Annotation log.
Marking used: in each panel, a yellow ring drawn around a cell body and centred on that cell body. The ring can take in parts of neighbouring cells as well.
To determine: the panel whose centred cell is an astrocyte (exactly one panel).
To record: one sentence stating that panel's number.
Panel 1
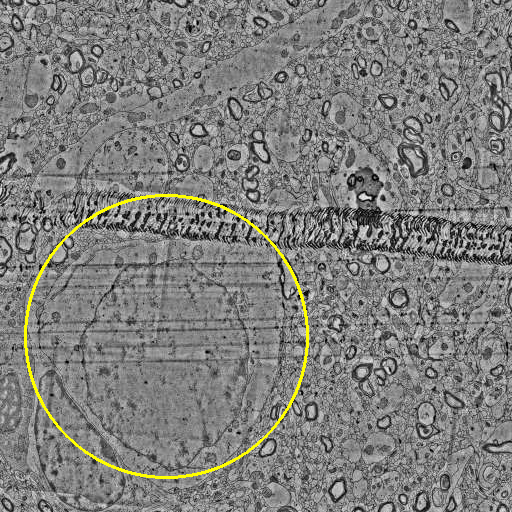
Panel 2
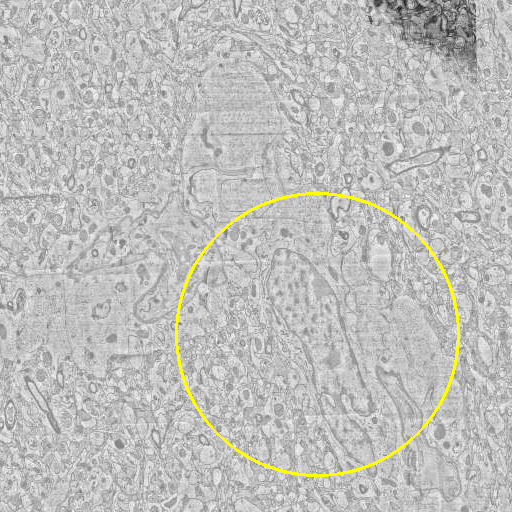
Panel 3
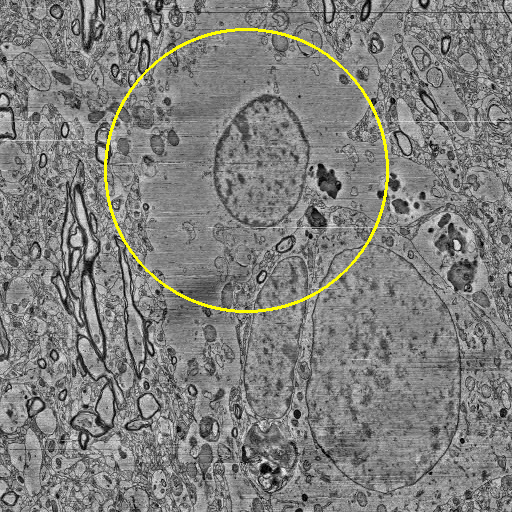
Panel 3 shows it at the centre of its ring.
